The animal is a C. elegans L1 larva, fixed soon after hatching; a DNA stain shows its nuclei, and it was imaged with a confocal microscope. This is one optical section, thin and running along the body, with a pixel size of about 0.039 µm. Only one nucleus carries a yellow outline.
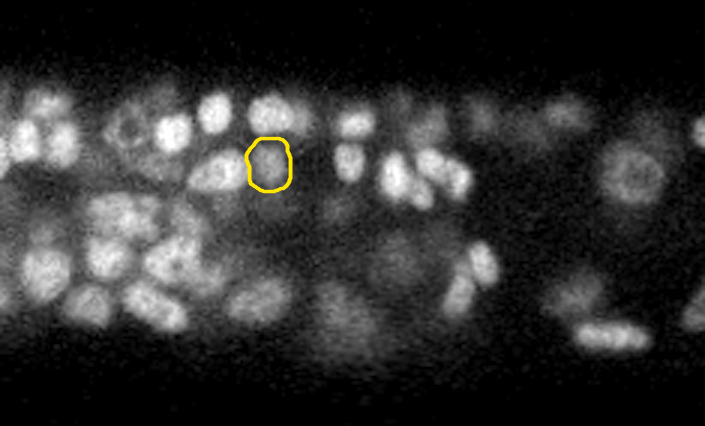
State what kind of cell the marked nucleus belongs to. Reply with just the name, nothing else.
neuron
